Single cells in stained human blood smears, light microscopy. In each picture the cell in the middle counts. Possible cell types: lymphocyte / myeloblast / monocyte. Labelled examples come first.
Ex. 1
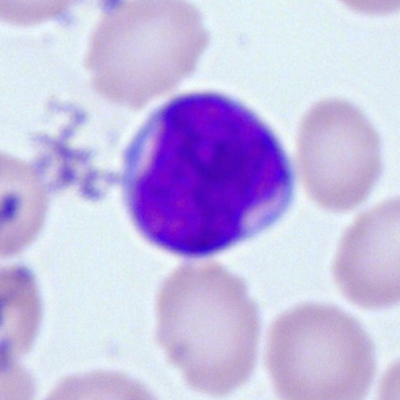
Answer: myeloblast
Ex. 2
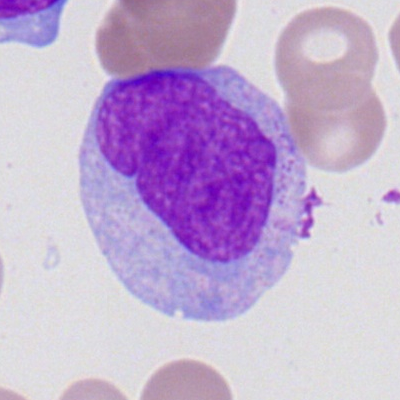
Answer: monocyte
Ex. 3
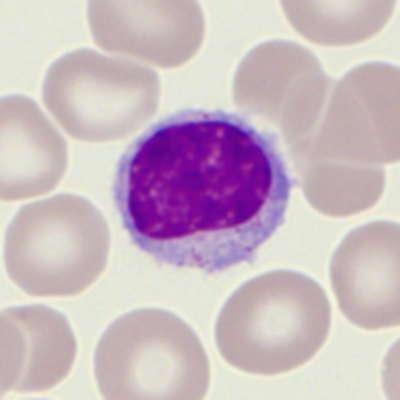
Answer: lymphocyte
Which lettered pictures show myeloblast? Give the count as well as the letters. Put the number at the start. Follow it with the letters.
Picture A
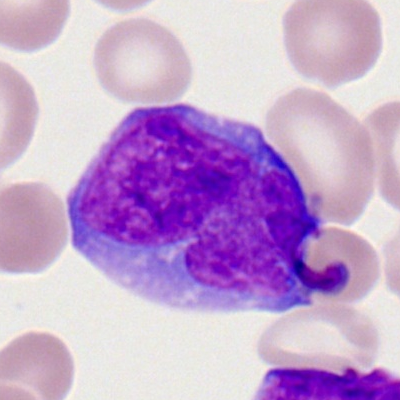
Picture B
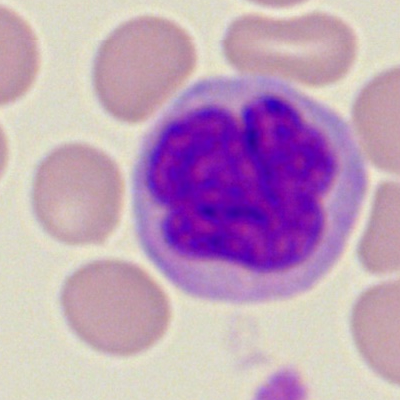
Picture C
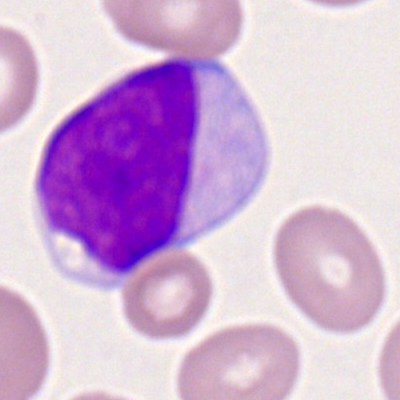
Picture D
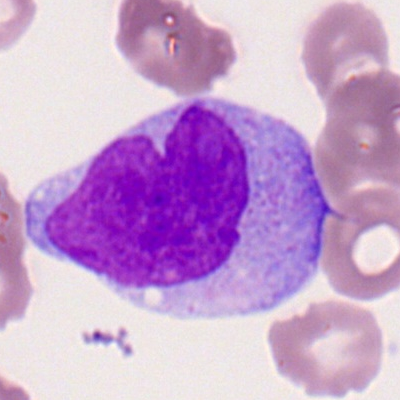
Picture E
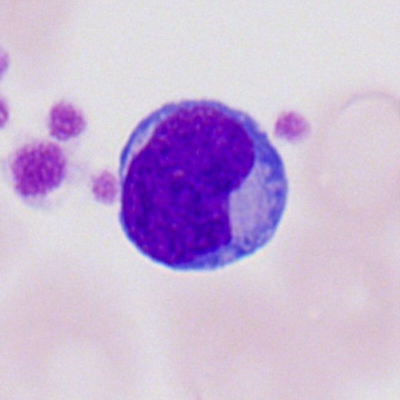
2, namely A, C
